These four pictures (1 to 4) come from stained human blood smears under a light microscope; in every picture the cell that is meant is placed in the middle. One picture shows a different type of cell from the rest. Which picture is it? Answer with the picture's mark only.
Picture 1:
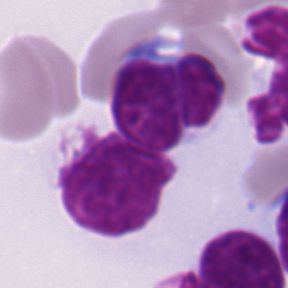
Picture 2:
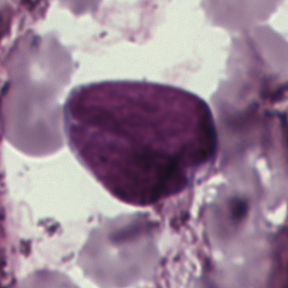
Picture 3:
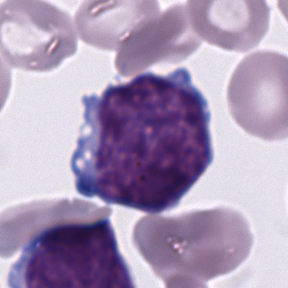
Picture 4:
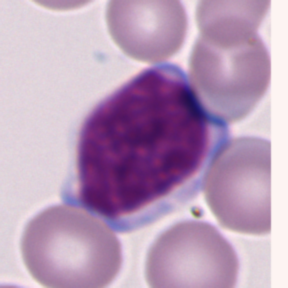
4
